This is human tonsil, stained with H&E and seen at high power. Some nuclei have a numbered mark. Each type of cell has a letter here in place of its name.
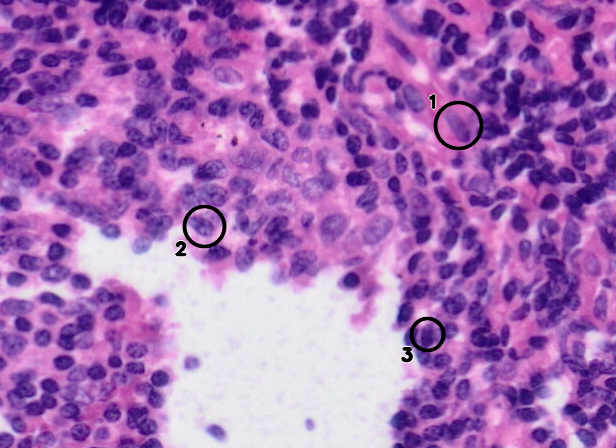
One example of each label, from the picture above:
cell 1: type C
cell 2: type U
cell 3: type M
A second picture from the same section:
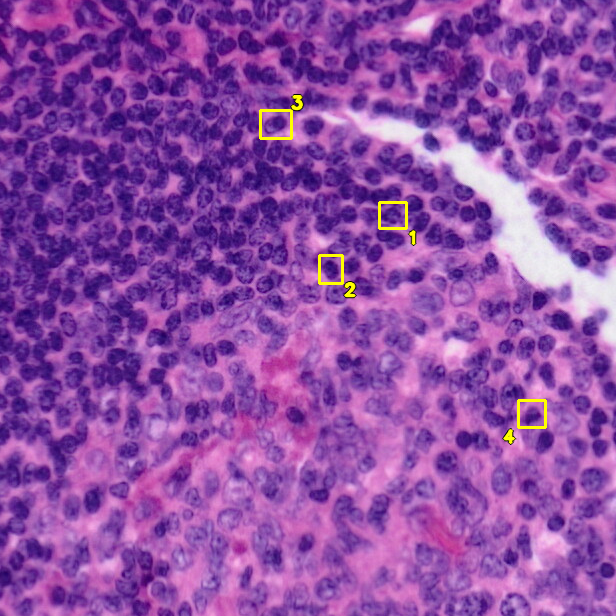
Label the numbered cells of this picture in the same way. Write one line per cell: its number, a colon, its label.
1: type M
2: type M
3: type M
4: type U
